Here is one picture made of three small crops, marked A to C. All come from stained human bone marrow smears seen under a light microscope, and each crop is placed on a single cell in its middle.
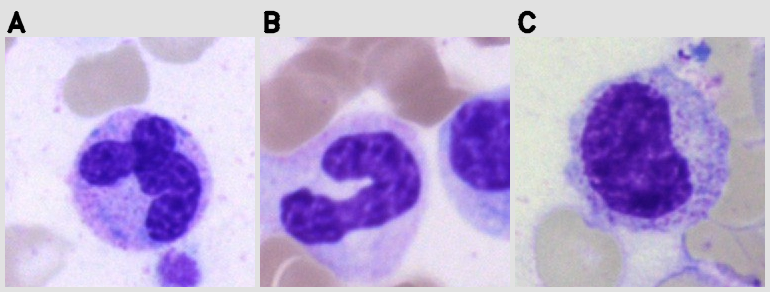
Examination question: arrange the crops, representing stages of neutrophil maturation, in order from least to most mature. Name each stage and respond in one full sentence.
The maturation order, from least to most mature, is crop C (a metamyelocyte), crop B (a band neutrophil) and crop A (a segmented neutrophil).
